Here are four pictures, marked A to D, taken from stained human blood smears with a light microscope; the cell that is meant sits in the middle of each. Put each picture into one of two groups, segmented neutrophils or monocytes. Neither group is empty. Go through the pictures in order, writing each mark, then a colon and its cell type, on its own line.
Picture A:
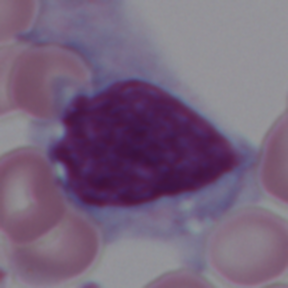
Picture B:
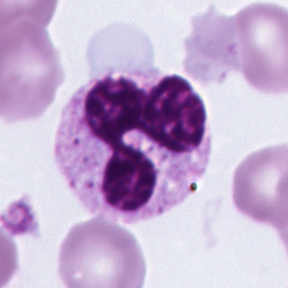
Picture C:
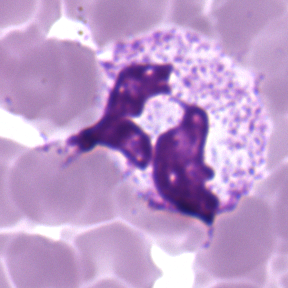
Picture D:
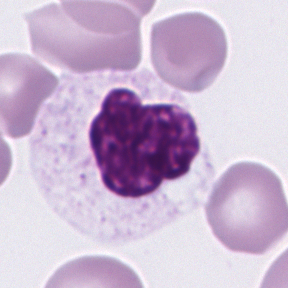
A: monocyte
B: segmented neutrophil
C: segmented neutrophil
D: segmented neutrophil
